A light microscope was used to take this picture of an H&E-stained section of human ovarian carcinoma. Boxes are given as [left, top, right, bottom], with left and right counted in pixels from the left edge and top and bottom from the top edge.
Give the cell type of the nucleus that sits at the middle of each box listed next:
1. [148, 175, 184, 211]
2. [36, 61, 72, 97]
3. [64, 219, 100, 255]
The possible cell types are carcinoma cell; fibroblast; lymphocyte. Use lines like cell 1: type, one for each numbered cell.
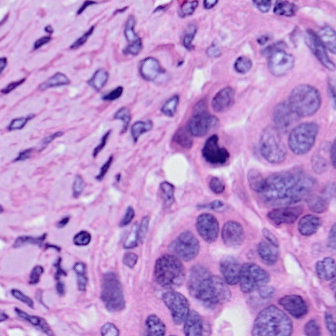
cell 1: fibroblast
cell 2: fibroblast
cell 3: lymphocyte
